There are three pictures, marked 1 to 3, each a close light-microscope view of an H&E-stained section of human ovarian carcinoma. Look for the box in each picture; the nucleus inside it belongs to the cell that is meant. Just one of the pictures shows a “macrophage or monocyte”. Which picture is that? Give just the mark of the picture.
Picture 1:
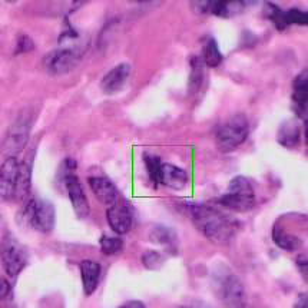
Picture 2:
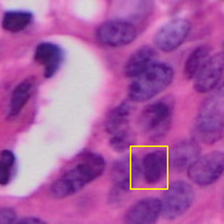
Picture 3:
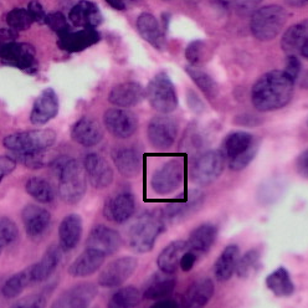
1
